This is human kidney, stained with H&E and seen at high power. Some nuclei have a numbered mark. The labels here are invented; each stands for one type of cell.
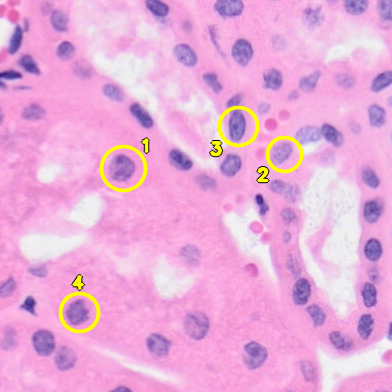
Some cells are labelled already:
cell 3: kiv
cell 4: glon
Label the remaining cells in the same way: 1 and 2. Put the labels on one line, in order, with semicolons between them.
glon; kiv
